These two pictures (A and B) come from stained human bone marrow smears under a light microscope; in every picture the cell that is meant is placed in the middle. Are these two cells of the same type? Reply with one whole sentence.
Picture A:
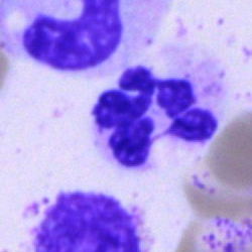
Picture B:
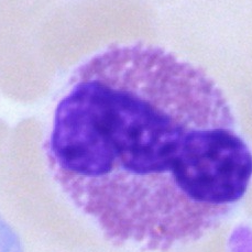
No, they differ: the cell is a segmented neutrophil in picture A and an eosinophil in picture B.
